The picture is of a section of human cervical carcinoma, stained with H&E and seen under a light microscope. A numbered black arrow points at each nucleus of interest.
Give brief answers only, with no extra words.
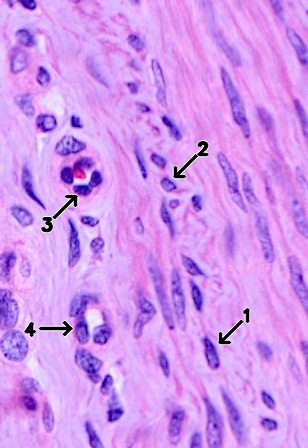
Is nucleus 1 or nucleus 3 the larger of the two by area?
1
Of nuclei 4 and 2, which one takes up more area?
4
